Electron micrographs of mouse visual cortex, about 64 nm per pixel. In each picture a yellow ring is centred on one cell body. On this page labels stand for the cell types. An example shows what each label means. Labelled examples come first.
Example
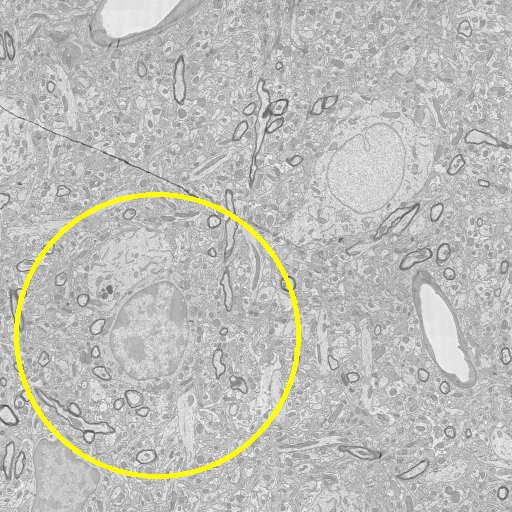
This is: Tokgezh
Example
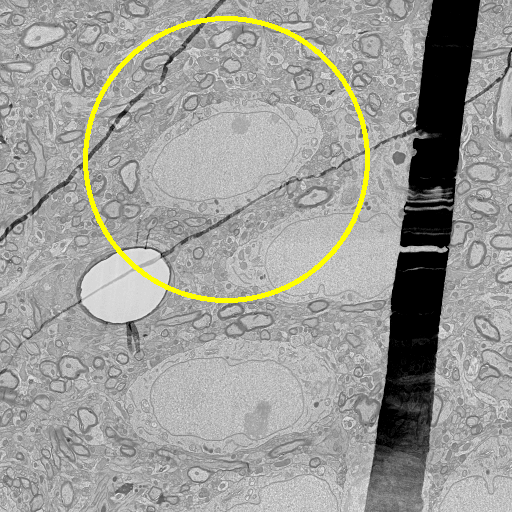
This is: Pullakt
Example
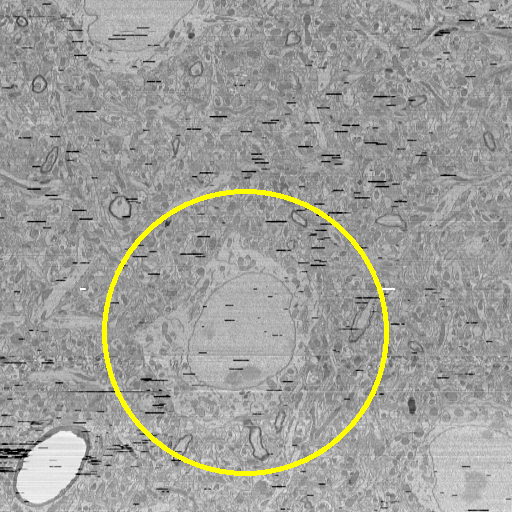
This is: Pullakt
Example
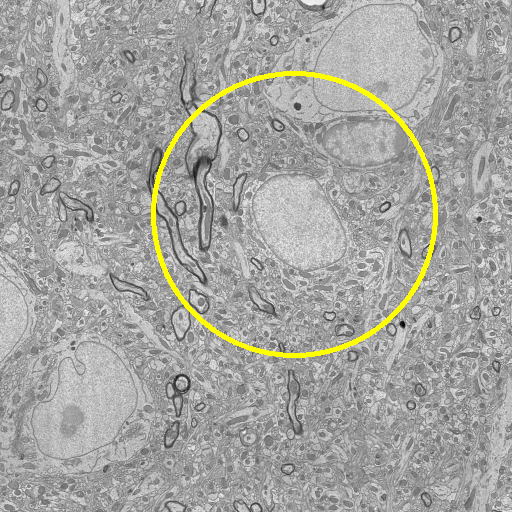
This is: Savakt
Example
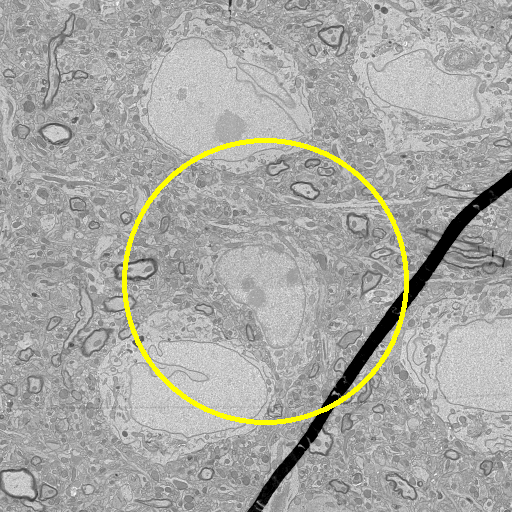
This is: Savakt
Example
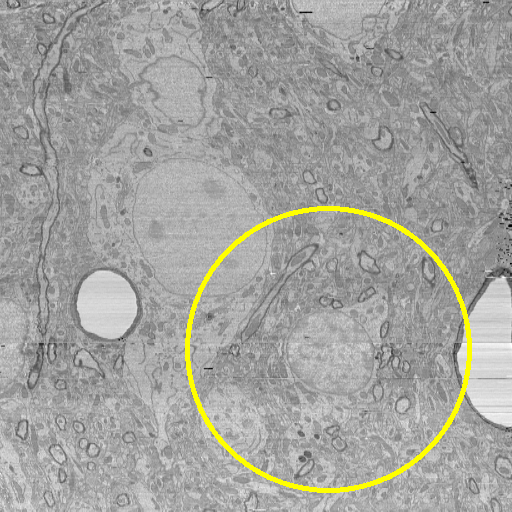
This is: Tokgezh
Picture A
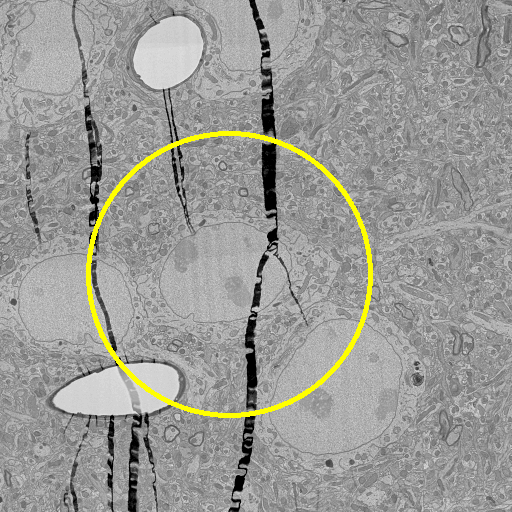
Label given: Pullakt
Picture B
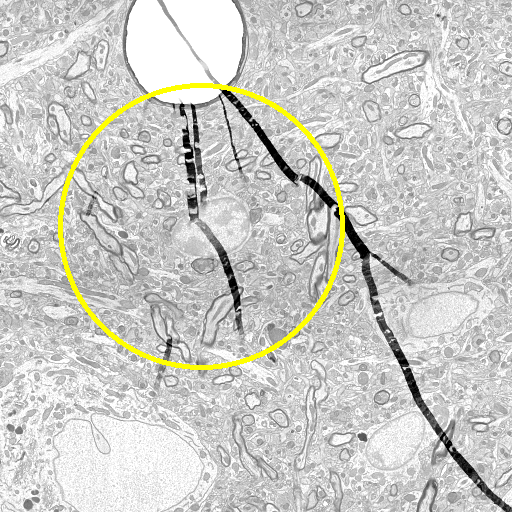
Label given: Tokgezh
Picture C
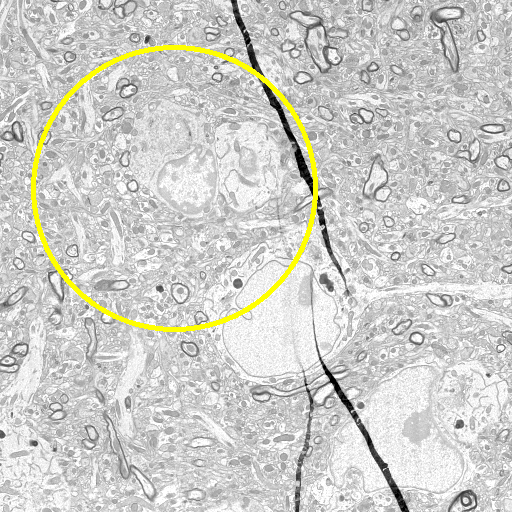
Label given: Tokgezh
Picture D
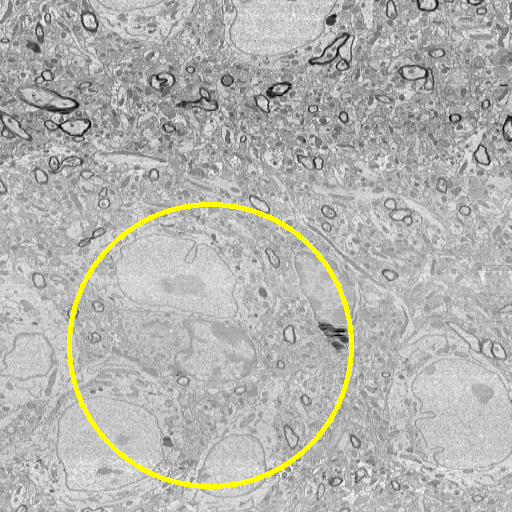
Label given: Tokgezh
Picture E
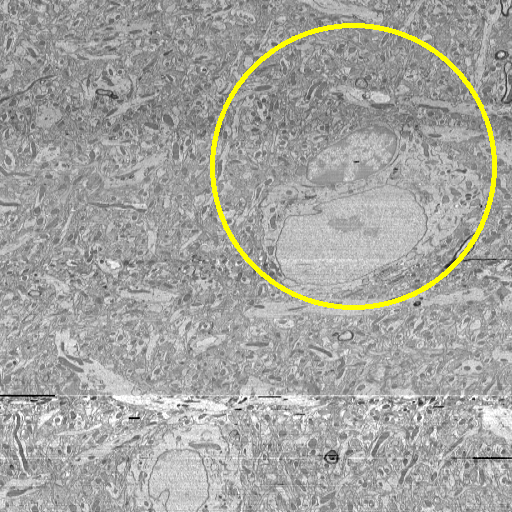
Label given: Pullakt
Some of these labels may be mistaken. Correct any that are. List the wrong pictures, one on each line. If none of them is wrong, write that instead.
Wrong: E (Pullakt); correct: Tokgezh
